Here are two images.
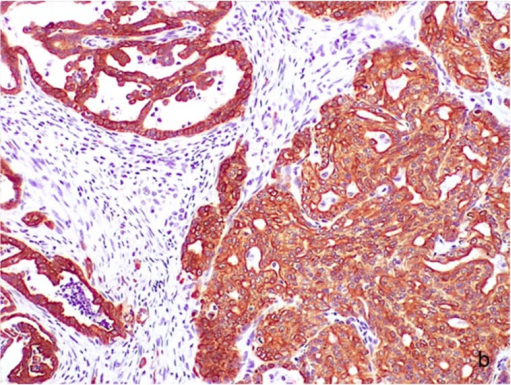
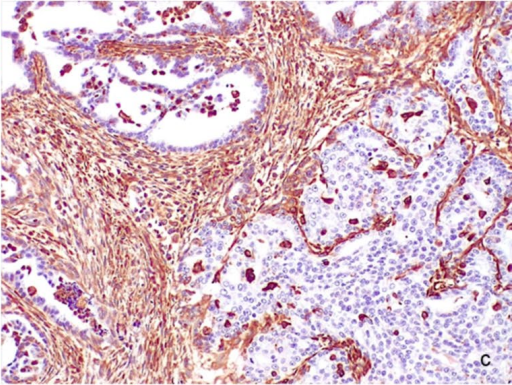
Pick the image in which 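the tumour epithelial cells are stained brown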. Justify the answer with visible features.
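The first image. Second image: the epithelial nests are unstained and the brown stain lies in the stromal spindle cells. First image: the epithelial nests and papillae are brown while the stroma is unstained.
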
